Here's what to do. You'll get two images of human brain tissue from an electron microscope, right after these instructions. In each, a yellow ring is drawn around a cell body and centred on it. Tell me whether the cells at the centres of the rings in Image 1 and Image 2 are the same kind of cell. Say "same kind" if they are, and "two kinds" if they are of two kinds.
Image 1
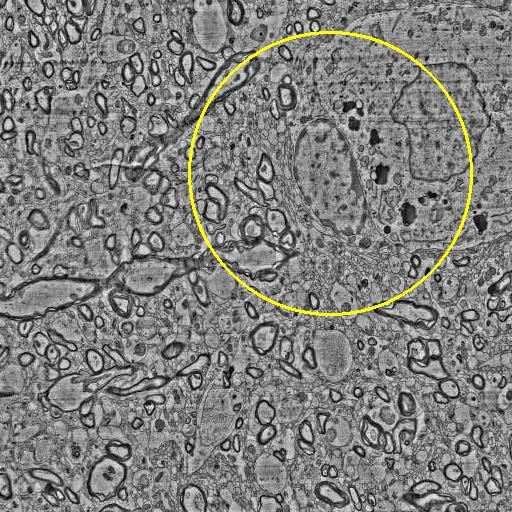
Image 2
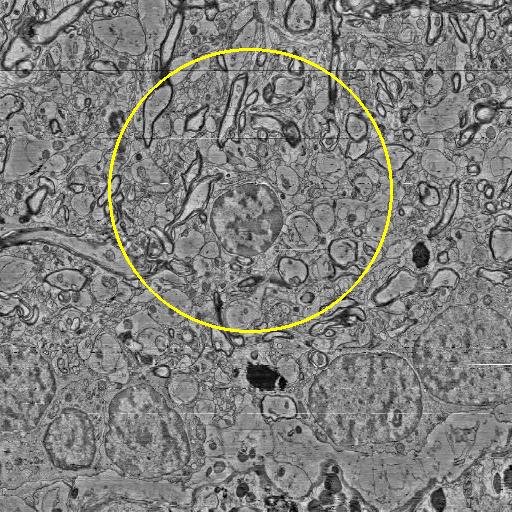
same kind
